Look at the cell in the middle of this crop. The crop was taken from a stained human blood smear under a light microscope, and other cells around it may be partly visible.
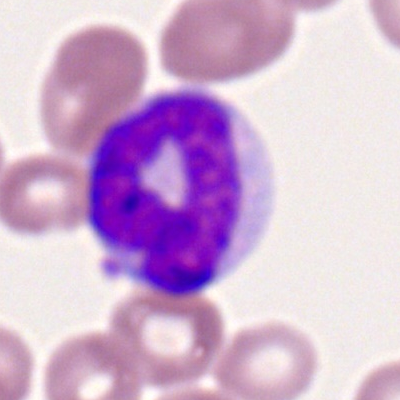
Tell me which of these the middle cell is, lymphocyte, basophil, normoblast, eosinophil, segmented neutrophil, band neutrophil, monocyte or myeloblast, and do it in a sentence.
Within this crop, a monocyte occupies the central position.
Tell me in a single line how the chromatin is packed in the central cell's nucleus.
In this nucleus, the chromatin is arranged in coarse clumps.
